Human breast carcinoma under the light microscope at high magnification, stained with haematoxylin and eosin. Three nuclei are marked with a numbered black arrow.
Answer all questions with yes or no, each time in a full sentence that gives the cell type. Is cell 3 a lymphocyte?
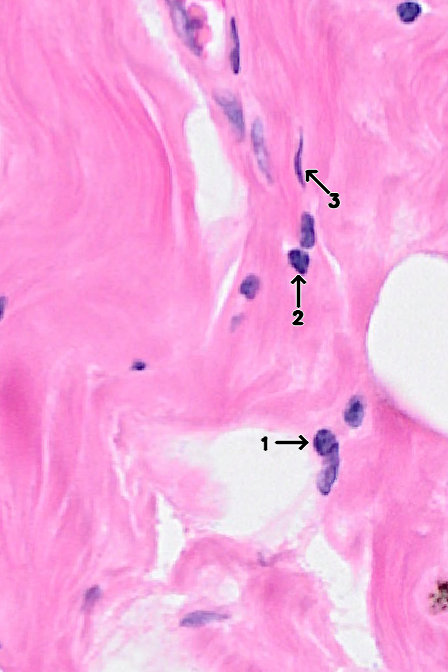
No, number 3 corresponds to a fibroblast, not a lymphocyte.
